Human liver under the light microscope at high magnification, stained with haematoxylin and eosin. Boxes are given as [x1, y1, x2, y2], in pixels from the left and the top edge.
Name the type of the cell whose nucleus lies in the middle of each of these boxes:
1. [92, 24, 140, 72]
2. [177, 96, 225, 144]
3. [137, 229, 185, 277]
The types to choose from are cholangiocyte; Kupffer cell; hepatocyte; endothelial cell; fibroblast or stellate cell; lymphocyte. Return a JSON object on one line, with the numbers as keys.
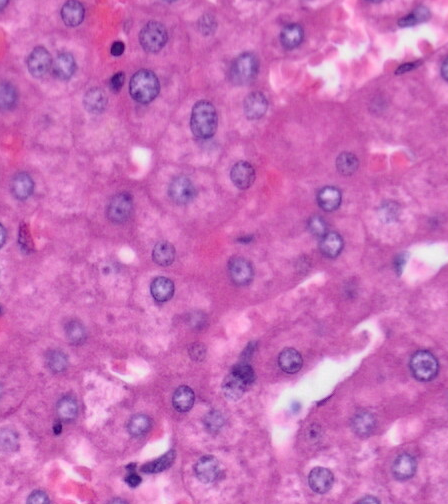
{"1": "lymphocyte", "2": "hepatocyte", "3": "hepatocyte"}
